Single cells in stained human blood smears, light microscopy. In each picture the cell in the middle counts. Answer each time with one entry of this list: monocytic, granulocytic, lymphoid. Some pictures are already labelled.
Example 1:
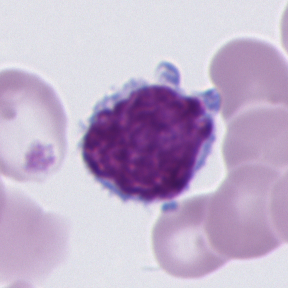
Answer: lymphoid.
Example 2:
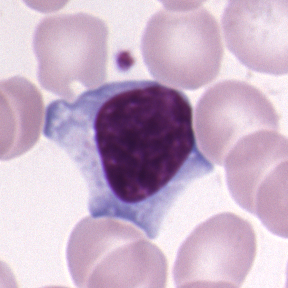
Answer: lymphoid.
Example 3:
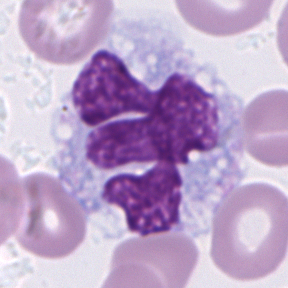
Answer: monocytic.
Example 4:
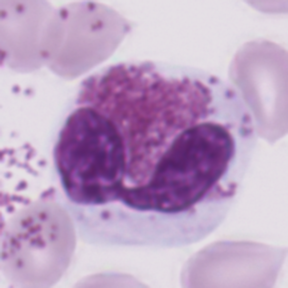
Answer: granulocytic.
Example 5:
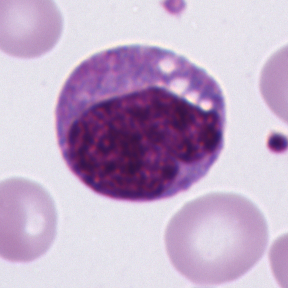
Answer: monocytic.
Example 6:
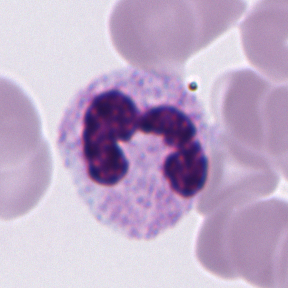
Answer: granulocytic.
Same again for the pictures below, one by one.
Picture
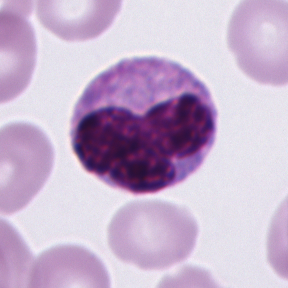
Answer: granulocytic.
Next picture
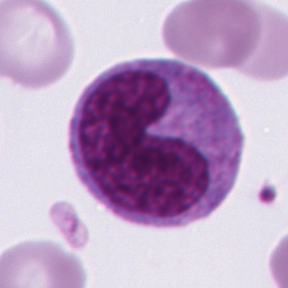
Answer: monocytic.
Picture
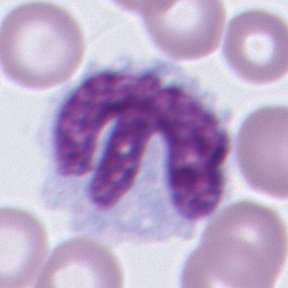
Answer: monocytic.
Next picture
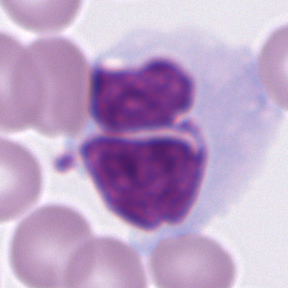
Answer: monocytic.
